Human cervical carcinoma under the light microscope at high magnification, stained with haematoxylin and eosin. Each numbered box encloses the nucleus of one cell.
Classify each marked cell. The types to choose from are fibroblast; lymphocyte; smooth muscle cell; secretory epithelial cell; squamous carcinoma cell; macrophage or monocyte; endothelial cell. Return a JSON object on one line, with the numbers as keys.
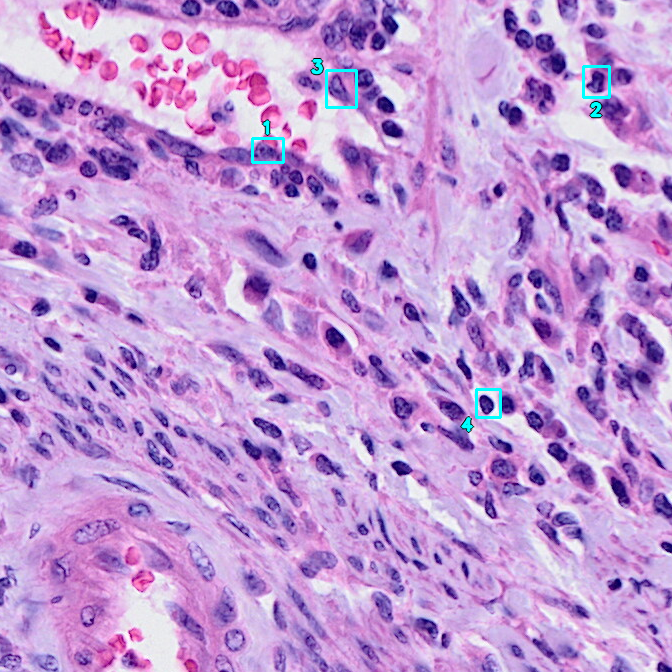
{"1": "endothelial cell", "2": "lymphocyte", "3": "endothelial cell", "4": "lymphocyte"}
